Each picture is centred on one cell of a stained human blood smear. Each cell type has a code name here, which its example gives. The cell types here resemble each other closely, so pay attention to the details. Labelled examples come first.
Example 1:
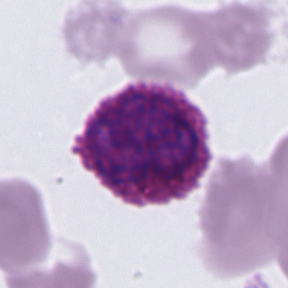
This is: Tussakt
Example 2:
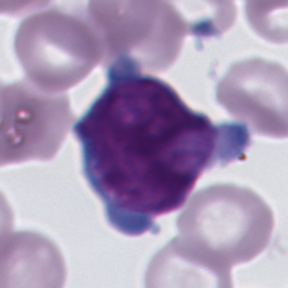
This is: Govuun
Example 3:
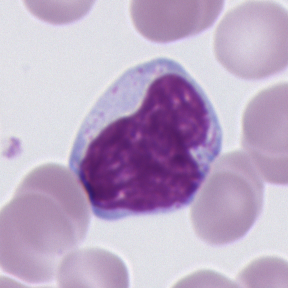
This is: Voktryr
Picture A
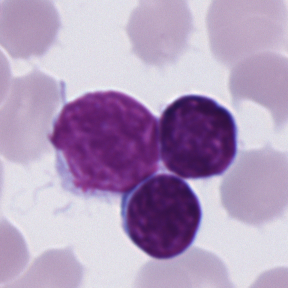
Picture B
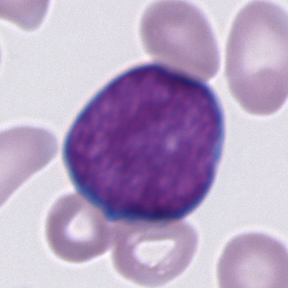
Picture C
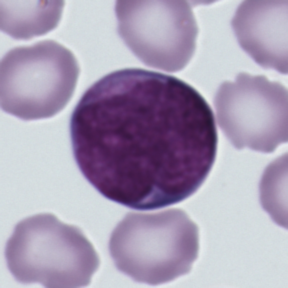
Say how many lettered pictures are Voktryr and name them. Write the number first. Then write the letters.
0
